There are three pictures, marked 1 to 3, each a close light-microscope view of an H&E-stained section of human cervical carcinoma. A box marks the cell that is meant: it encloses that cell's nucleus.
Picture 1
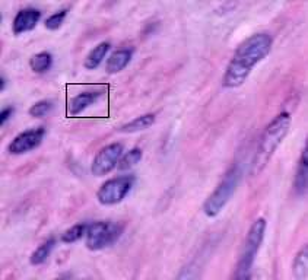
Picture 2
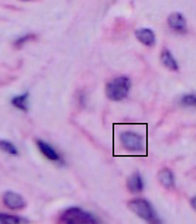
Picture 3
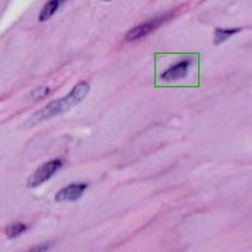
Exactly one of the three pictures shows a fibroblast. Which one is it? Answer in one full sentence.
The fibroblast is the one in picture 3.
